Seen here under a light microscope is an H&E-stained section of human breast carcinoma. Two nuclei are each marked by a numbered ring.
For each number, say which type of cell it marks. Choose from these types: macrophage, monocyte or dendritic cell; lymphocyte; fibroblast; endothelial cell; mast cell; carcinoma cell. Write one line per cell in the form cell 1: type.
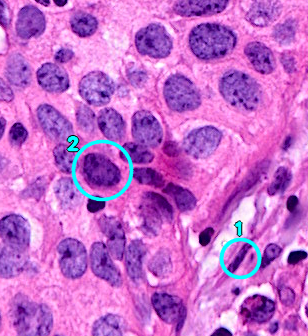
cell 1: fibroblast
cell 2: carcinoma cell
